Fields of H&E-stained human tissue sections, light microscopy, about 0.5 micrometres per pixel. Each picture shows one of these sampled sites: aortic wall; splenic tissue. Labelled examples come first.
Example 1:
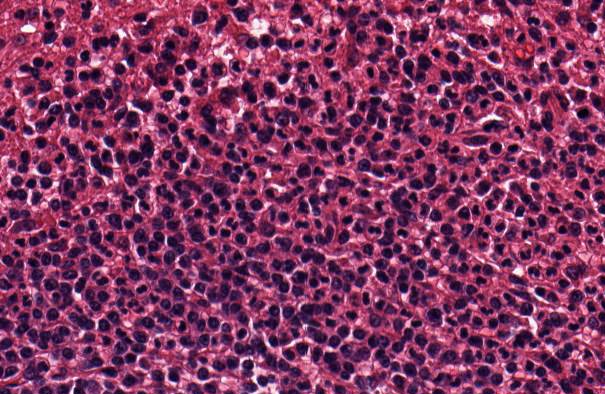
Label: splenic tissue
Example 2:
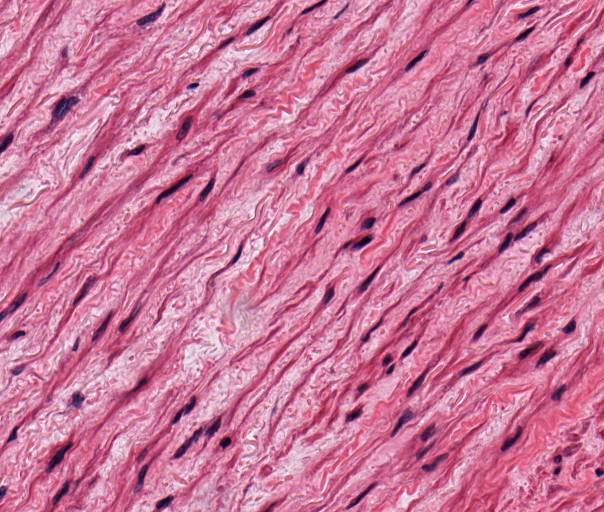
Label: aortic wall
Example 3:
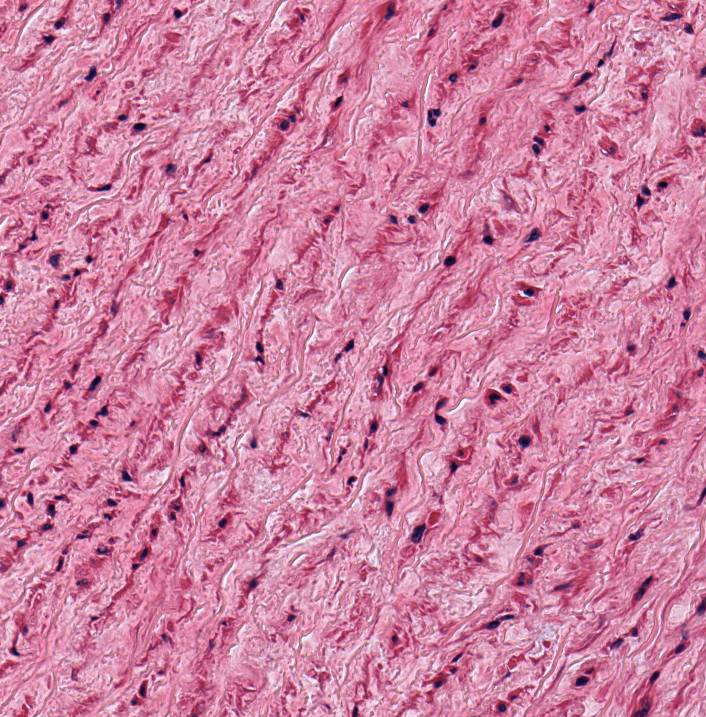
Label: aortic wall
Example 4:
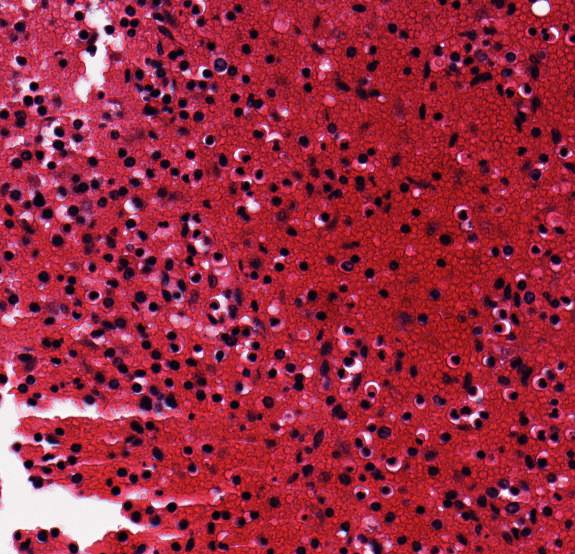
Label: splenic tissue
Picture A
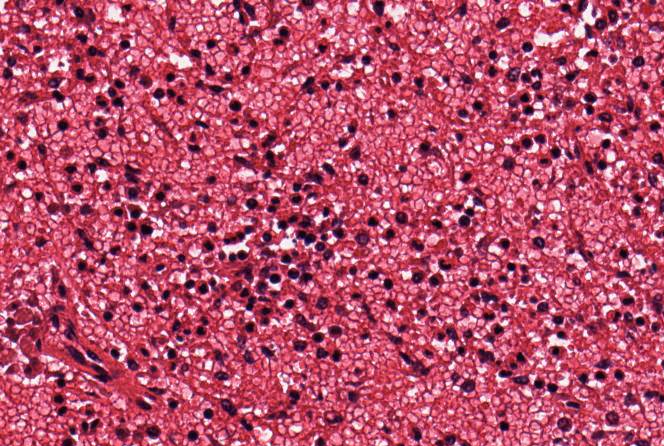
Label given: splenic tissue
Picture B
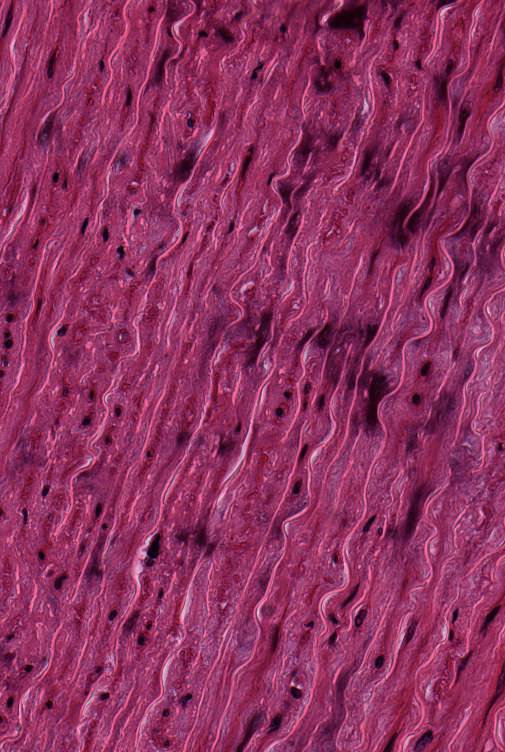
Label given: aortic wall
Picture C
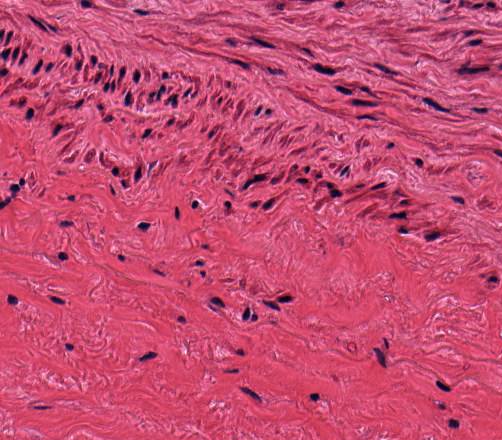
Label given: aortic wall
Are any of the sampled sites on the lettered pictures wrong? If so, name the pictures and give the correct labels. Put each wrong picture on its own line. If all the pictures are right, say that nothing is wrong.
No label is wrong.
